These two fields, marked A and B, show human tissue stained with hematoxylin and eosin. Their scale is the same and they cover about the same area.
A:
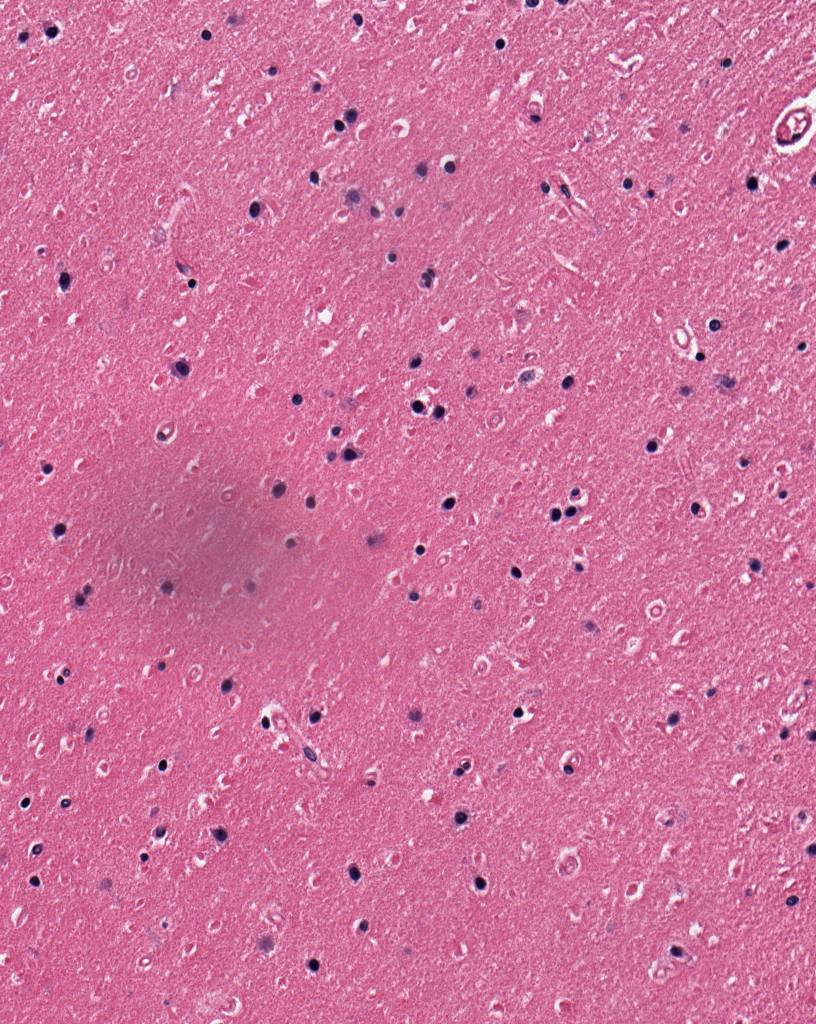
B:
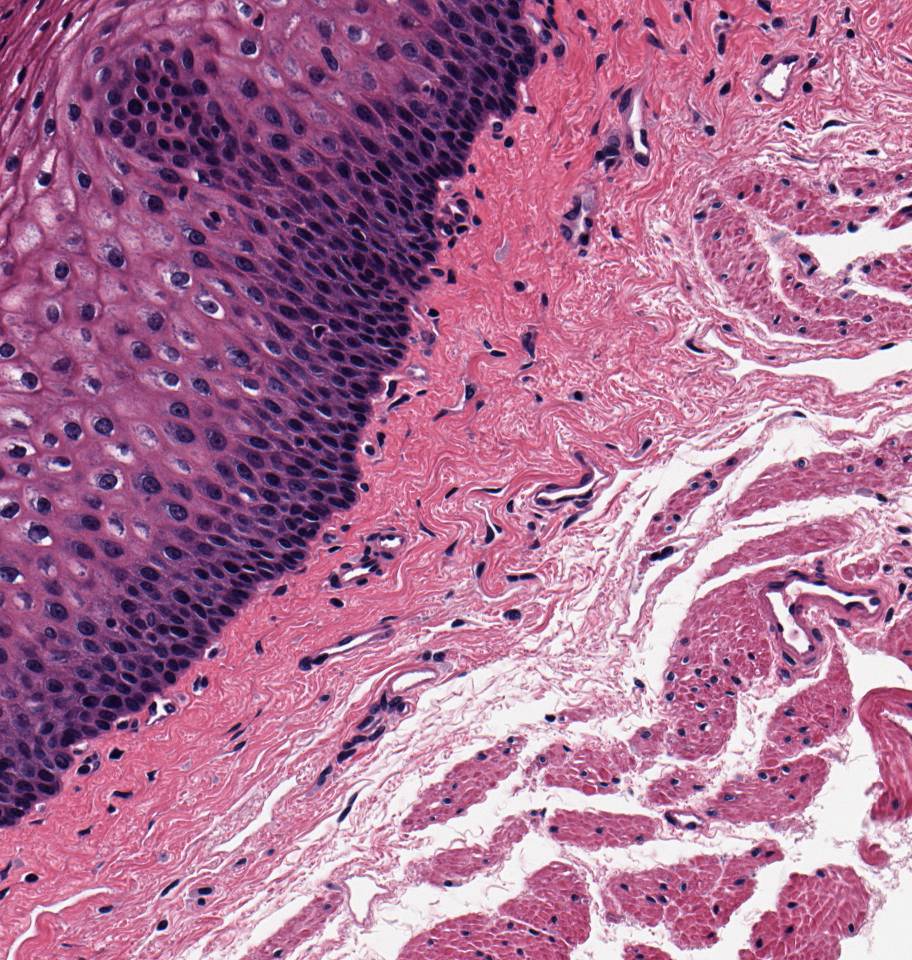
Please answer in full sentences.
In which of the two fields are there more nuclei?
More nuclei lie in field B than in field A.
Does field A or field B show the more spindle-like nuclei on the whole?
The nuclei are more elongated in field B.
